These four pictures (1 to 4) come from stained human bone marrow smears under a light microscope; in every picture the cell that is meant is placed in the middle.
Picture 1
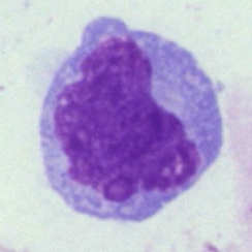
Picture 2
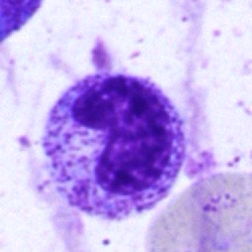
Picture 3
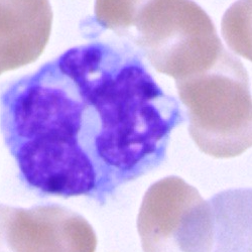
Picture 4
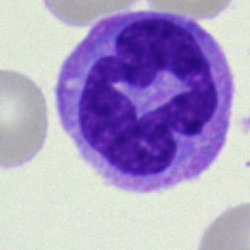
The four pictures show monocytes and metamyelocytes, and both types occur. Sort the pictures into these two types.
1: monocyte
2: metamyelocyte
3: monocyte
4: monocyte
